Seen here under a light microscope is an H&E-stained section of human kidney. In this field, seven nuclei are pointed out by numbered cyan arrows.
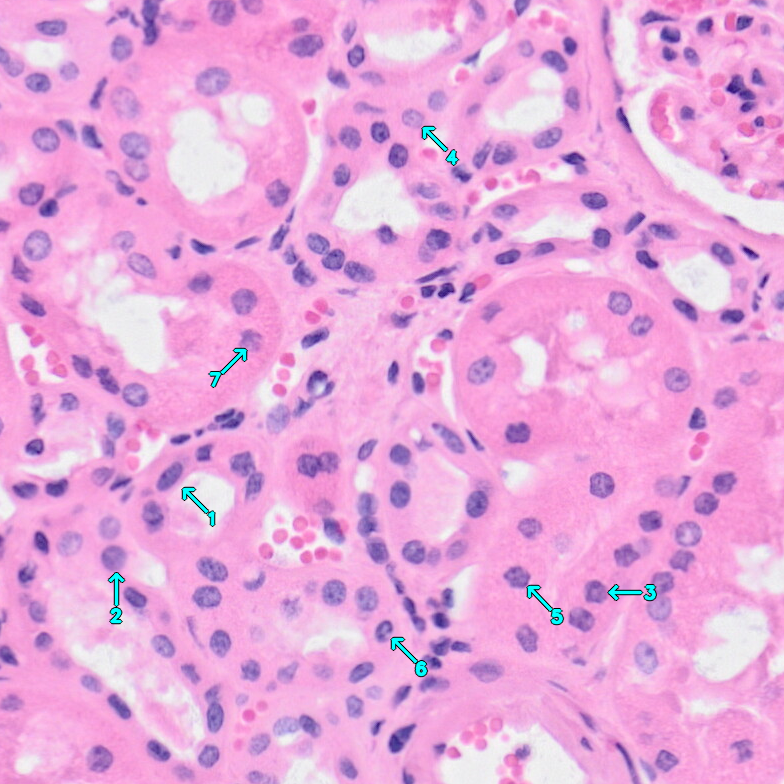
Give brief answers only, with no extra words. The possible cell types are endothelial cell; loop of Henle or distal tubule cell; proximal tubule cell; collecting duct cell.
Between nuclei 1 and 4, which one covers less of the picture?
4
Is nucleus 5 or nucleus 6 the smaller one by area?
6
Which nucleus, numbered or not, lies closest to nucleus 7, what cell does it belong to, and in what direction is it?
a proximal tubule cell; above nucleus 7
